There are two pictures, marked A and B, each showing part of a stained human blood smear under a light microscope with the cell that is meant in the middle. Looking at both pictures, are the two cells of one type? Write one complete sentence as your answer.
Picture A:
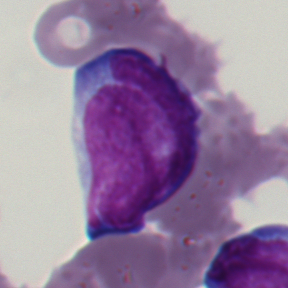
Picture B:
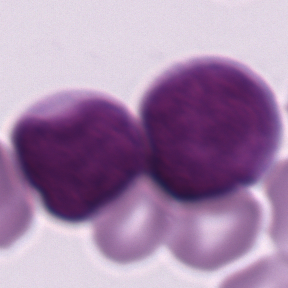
Yes, both are myeloblasts.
